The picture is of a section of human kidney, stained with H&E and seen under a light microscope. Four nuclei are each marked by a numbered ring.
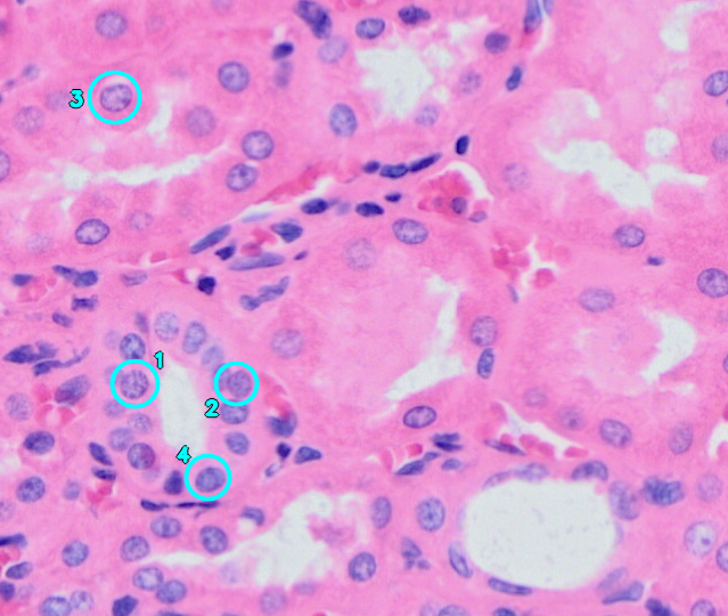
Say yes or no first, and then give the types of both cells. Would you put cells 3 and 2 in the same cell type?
No, cell 3 is a proximal tubule cell and cell 2 is a collecting duct cell.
